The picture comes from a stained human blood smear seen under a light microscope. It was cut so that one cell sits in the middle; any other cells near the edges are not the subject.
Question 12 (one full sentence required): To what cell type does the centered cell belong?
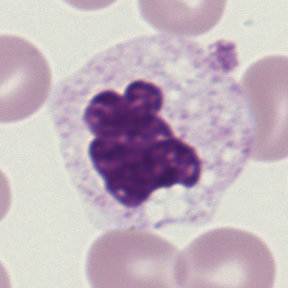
The single cell at the center of the crop is a segmented neutrophil.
